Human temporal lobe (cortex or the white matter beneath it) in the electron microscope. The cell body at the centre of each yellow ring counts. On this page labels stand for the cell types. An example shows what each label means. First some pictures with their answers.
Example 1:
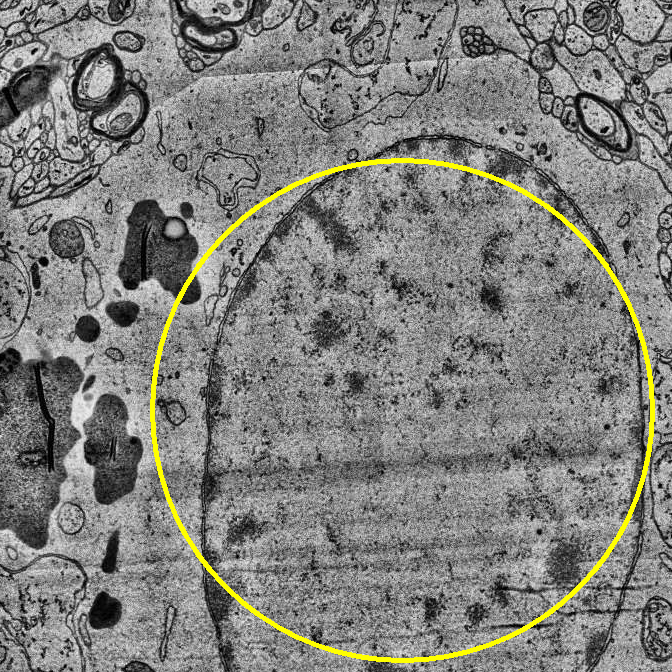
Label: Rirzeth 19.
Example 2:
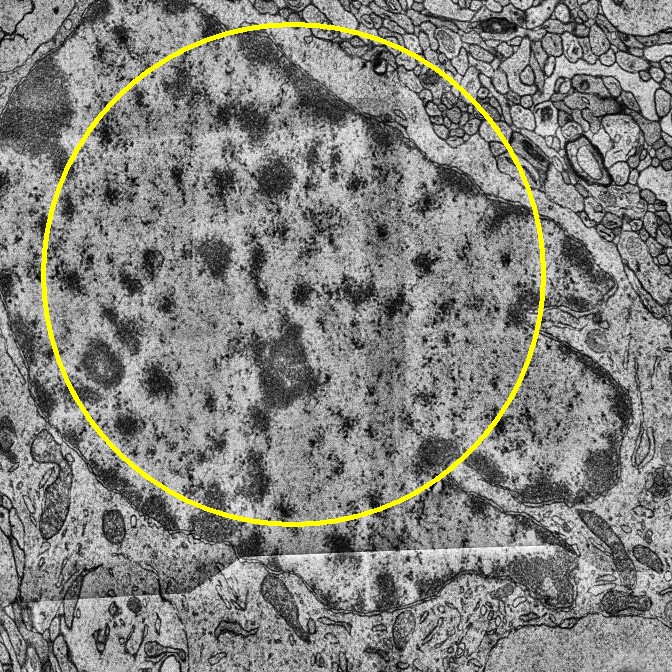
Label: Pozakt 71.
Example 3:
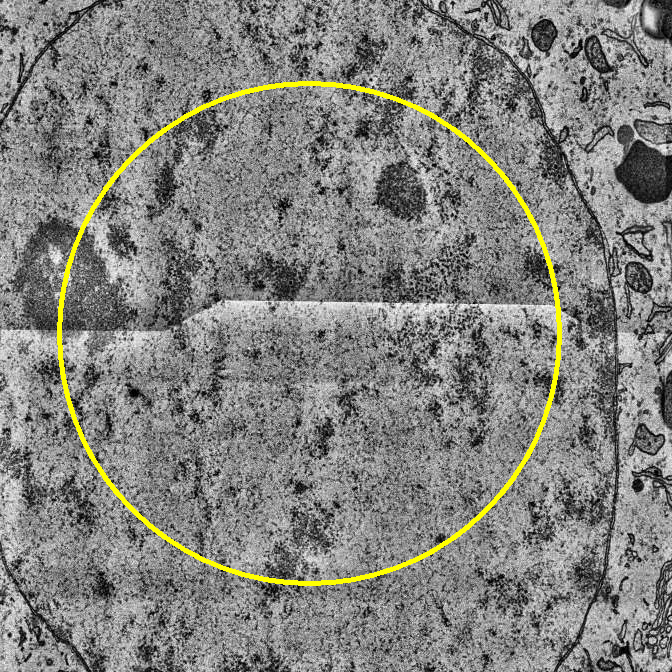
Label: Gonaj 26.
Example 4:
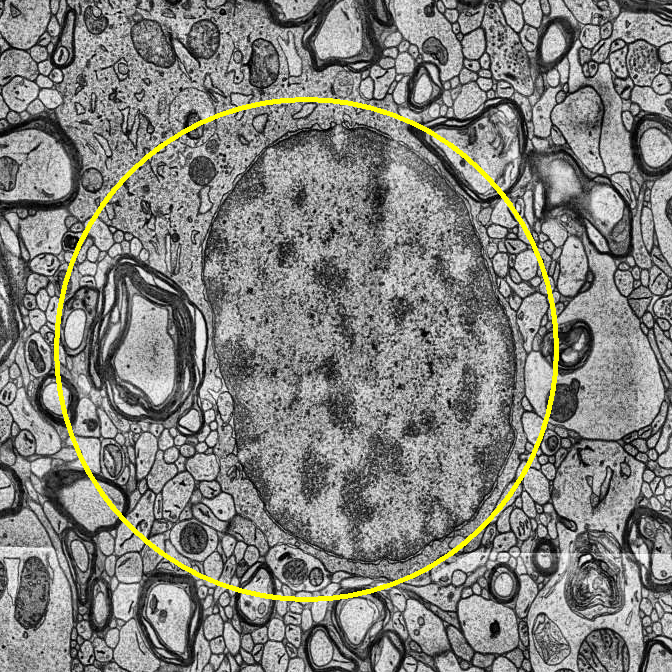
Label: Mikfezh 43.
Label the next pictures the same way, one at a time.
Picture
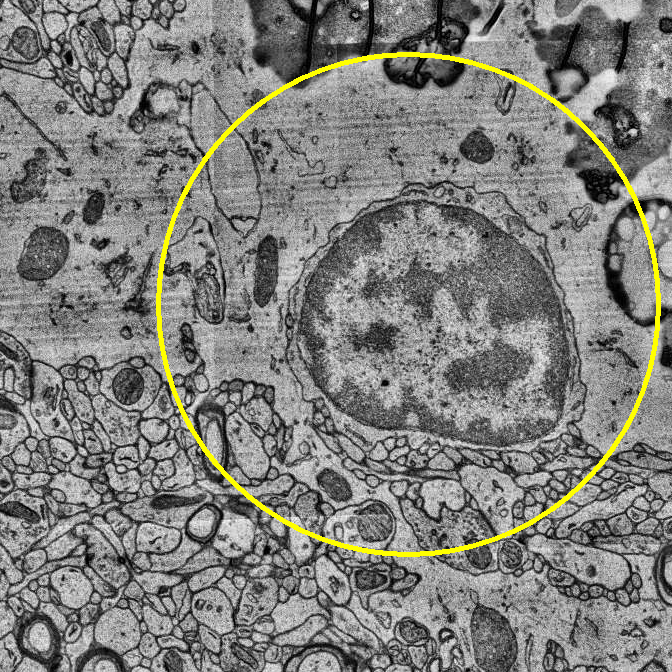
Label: Pozakt 71.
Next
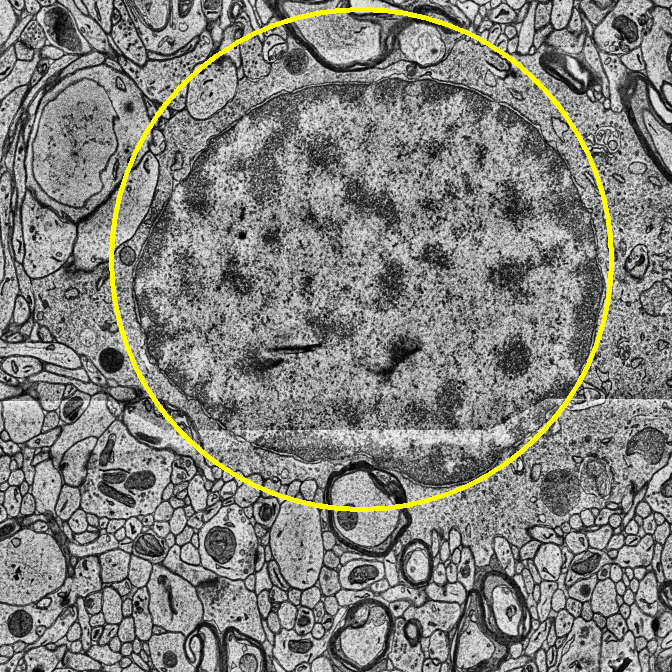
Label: Mikfezh 43.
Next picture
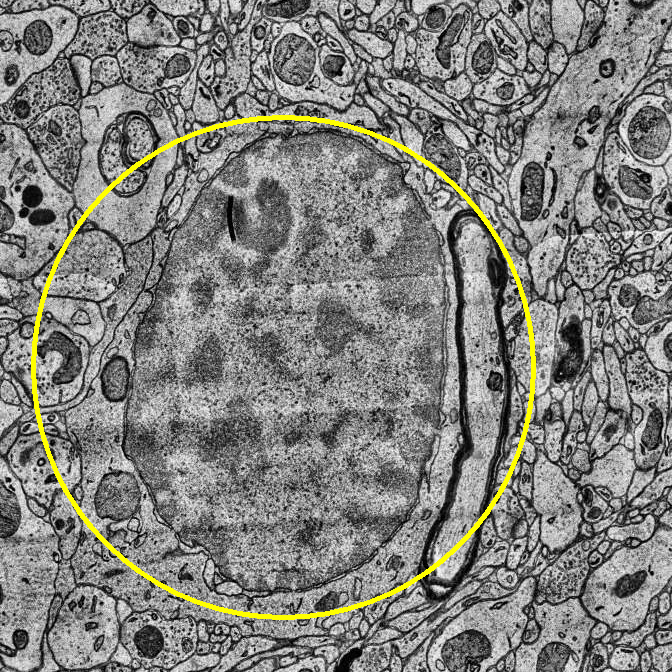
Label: Mikfezh 43.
